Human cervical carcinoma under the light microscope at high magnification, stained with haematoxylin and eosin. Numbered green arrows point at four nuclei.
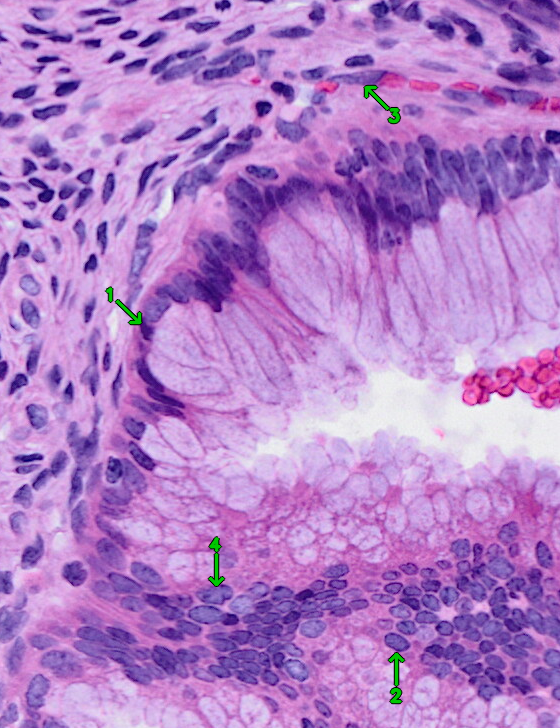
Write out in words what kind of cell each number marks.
Cells 1, 2 and 4 are secretory epithelial cells. Cell 3 is an endothelial cell.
